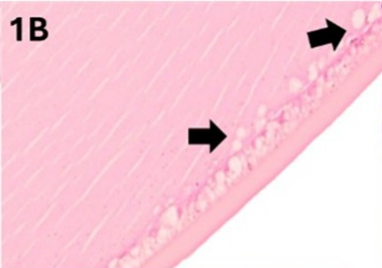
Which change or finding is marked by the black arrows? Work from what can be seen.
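Small clear round spaces line up along the edge beneath the smooth outer layer. The black arrows point at these spaces. That points to this answer: vacuolization.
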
